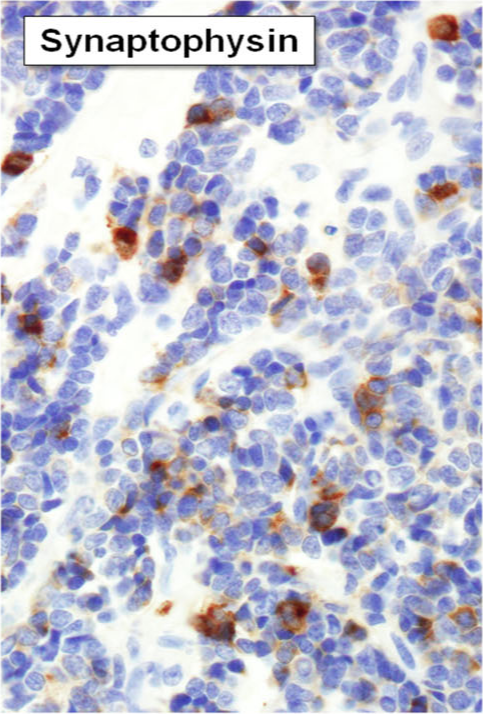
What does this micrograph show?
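Tumor cells packed in sheets and loose cords, separated by thin pale spaces. Cells are small with scant cytoplasm and oval to elongated, dark blue nuclei with fine chromatin; many nuclei are crowded and moulded against each other. Brown granular stain is in the cytoplasm of only scattered single cells and small clusters, while most cells remain blue and unstained. A few isolated strongly stained cells lie at the edges of the sheets.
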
